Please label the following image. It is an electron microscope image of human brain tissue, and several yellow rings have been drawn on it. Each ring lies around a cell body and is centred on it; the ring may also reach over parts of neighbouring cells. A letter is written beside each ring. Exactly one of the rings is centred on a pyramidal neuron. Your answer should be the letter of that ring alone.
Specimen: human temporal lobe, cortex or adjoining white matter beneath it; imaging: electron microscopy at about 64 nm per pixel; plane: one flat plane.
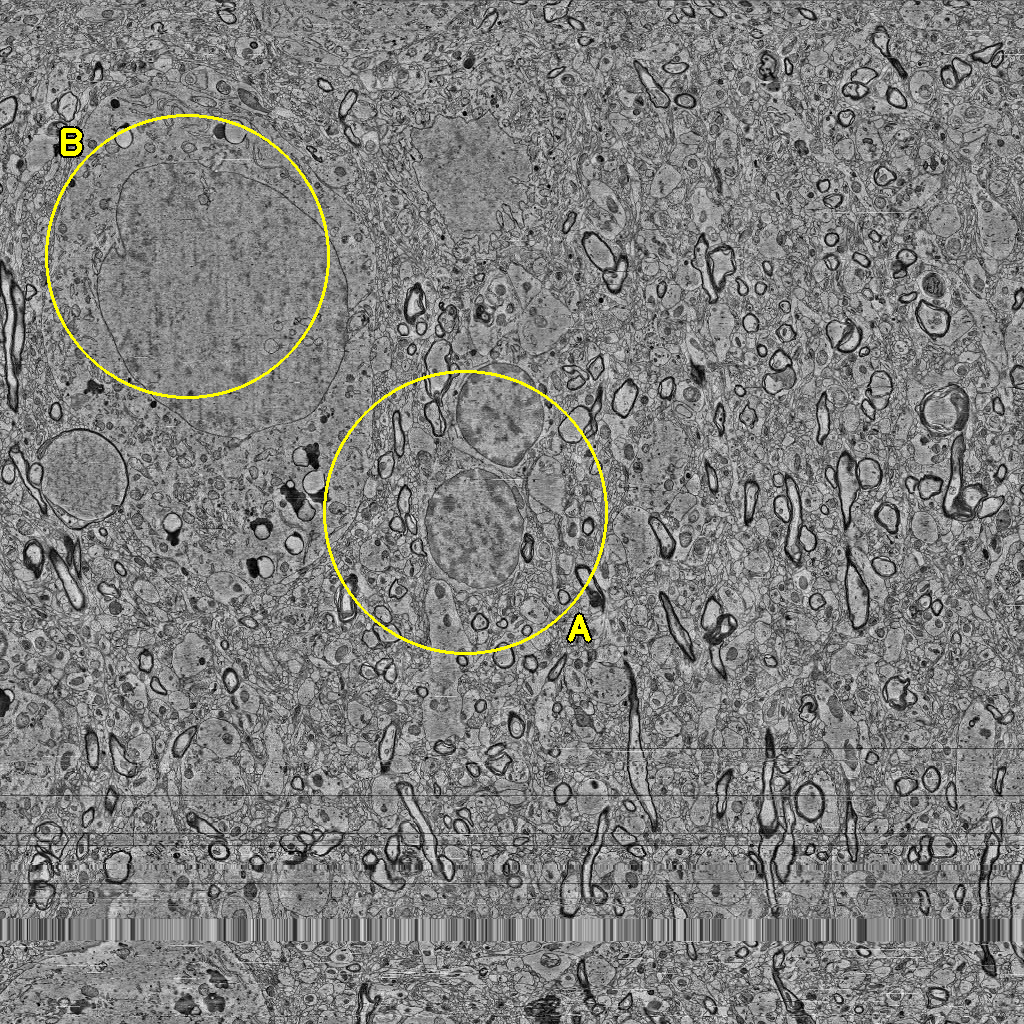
B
